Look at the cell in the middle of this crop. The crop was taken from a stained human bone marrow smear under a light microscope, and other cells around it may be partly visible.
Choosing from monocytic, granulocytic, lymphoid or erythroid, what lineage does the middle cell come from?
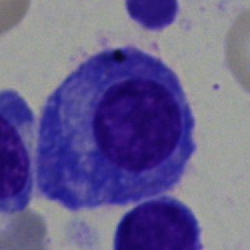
lymphoid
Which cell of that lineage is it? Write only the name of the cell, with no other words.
plasma cell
